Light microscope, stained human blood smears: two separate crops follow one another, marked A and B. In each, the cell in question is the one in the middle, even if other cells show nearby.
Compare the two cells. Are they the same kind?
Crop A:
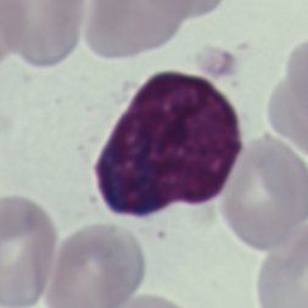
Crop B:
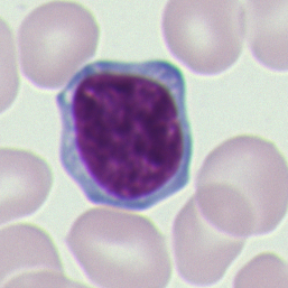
no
